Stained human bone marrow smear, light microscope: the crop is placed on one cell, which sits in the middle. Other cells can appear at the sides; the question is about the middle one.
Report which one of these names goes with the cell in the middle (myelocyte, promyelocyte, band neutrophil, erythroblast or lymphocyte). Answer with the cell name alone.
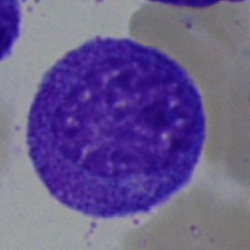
promyelocyte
